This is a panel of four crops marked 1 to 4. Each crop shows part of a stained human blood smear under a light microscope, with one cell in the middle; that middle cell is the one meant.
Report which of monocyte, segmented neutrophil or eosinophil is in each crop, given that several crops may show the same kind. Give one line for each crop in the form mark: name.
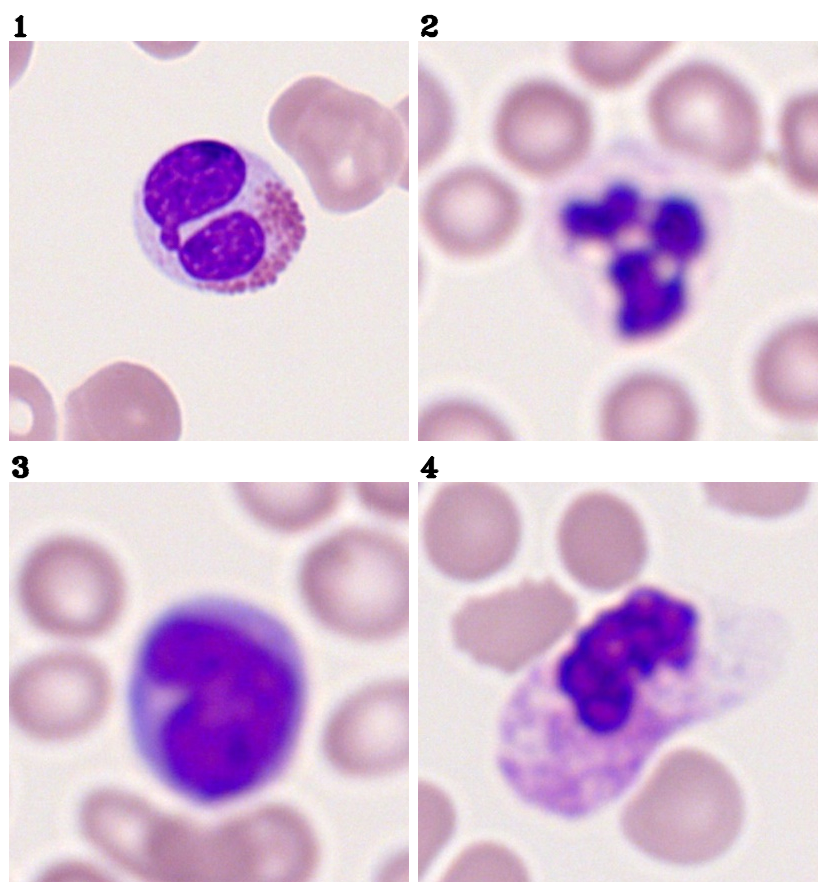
1: eosinophil
2: segmented neutrophil
3: monocyte
4: segmented neutrophil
